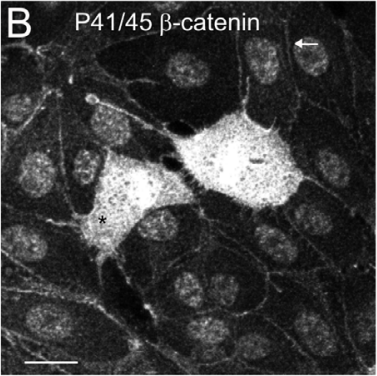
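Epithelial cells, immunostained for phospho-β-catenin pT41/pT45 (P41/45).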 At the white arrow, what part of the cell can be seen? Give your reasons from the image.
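Thin bright lines outline the cells. The arrow points at such an outline.
Cell membrane.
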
